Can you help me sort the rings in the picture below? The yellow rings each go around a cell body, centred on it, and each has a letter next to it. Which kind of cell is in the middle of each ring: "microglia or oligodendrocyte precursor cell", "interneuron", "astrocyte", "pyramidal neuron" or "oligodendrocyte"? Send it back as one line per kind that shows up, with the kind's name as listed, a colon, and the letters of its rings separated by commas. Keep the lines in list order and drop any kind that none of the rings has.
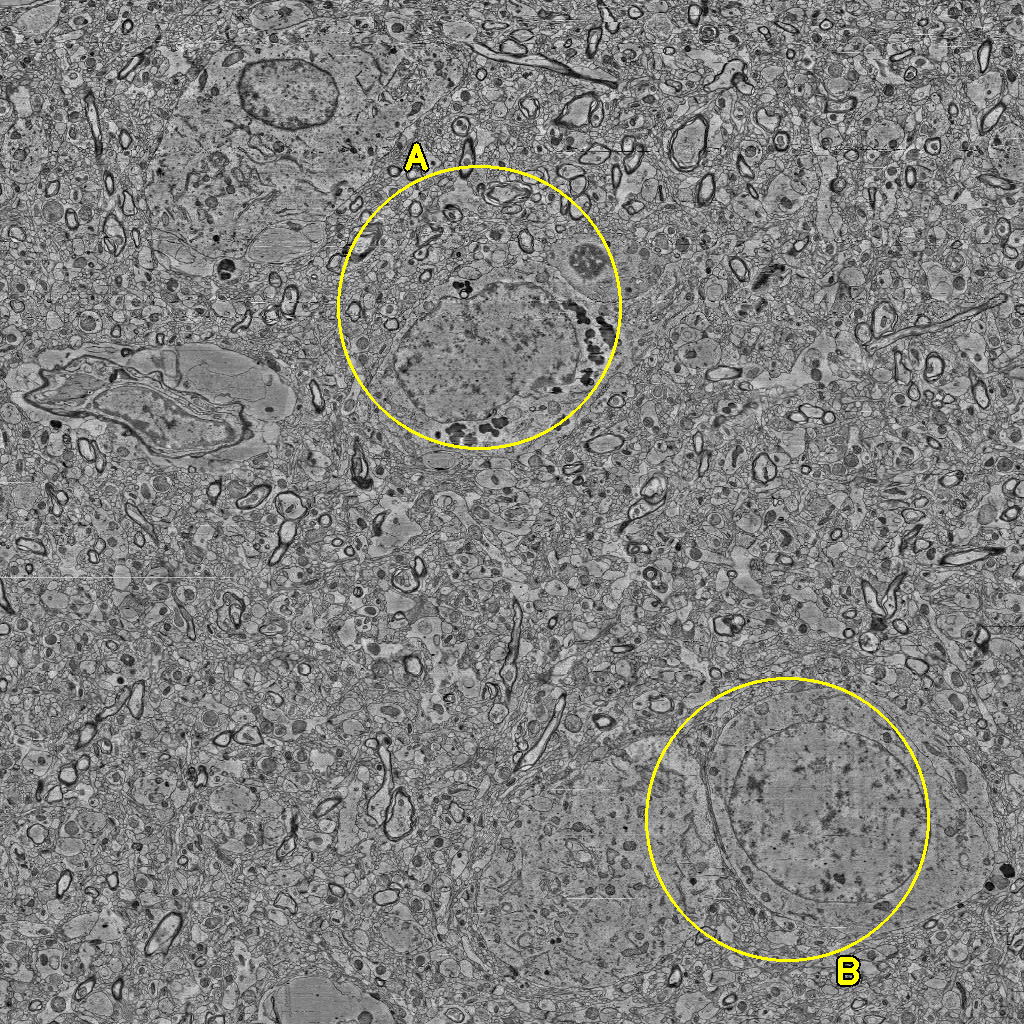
interneuron: A
pyramidal neuron: B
